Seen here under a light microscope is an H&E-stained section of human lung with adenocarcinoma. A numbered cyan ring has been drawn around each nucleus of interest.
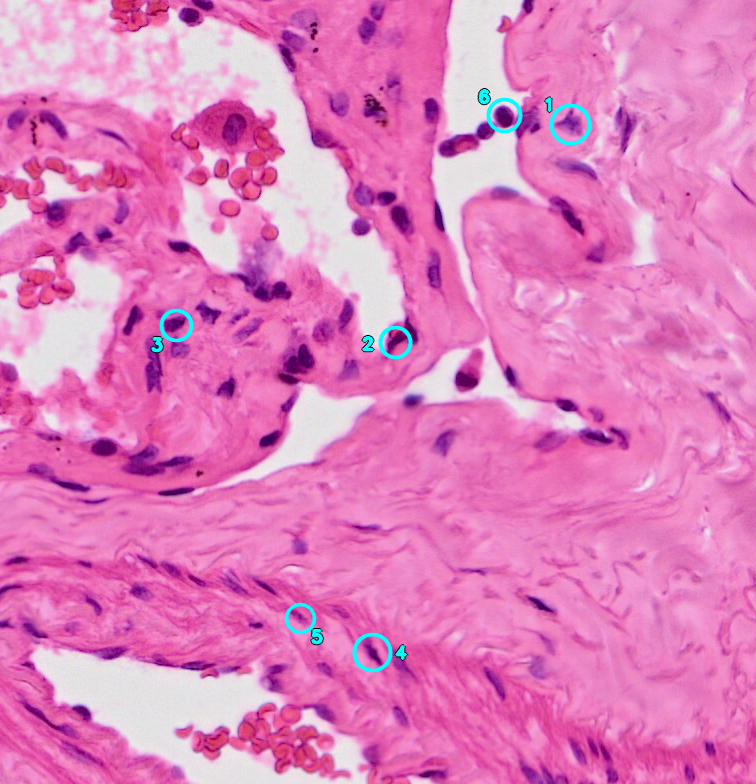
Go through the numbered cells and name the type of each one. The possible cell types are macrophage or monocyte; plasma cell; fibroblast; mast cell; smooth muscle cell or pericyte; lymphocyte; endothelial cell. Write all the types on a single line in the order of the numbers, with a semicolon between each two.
fibroblast; endothelial cell; plasma cell; smooth muscle cell or pericyte; smooth muscle cell or pericyte; lymphocyte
